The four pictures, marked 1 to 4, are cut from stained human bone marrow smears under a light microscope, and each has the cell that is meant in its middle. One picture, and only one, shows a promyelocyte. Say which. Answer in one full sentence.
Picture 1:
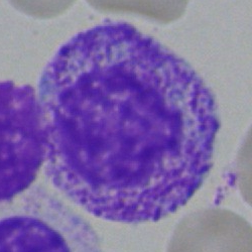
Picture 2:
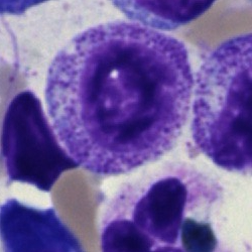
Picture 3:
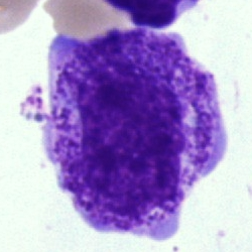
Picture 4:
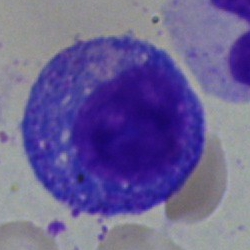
The cell in picture 4 is the promyelocyte.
